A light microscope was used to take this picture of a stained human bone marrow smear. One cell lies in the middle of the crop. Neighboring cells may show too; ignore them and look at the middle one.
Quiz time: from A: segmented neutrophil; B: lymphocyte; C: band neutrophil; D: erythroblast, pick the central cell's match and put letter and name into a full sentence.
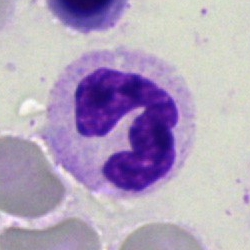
What sits in the middle of the crop is a segmented neutrophil, and option A is correct.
